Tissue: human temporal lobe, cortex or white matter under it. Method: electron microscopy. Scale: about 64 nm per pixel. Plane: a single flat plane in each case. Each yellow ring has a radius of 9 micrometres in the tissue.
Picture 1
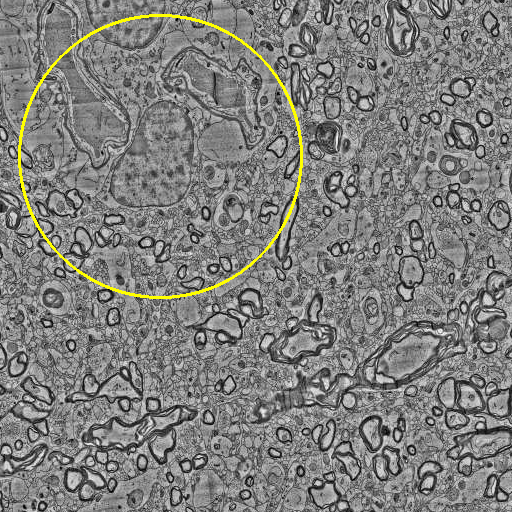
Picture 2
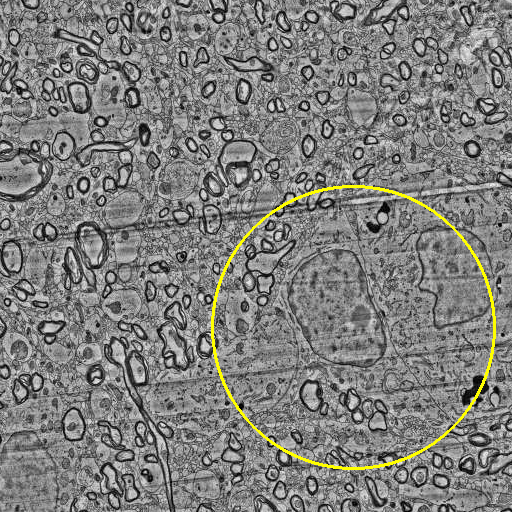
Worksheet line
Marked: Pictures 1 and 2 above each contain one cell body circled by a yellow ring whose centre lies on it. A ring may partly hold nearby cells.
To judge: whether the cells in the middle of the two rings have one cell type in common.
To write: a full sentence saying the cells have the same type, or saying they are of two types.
The cells in the middle of the rings in Picture 1 and Picture 2 have the same type.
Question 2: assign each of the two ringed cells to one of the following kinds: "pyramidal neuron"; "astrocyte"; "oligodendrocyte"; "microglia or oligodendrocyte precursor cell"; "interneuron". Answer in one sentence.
Each one of the two ringed cells is a microglial cell or oligodendrocyte precursor cell.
